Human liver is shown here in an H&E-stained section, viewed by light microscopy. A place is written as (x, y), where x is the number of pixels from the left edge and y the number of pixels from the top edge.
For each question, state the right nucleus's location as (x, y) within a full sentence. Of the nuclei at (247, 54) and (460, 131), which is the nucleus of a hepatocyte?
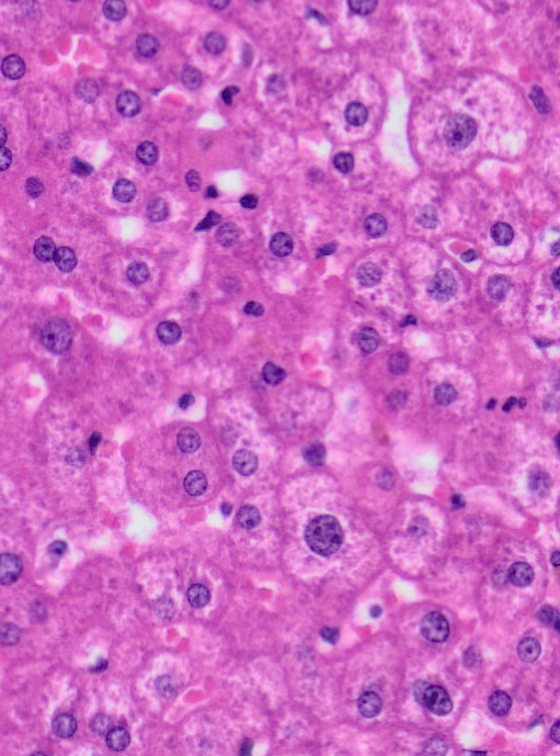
Only the nucleus at (460, 131), of the two, belongs to a hepatocyte.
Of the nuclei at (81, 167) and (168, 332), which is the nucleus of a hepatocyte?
Of the two nuclei, the nucleus of a hepatocyte is at (168, 332).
